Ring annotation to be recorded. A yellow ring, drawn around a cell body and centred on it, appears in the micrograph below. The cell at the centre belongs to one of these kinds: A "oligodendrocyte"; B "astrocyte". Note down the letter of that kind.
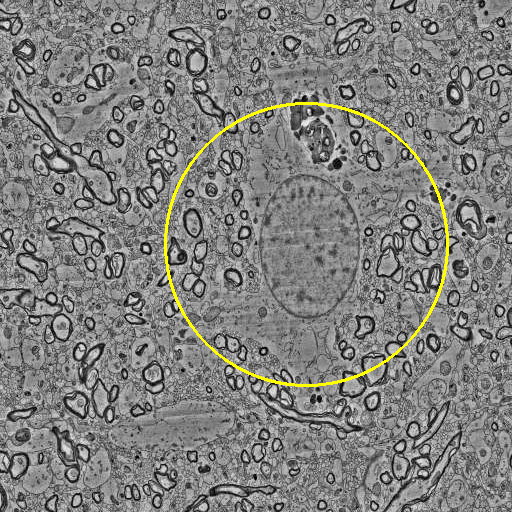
B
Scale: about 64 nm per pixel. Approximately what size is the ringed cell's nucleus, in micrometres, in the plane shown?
Roughly 9 by 6 micrometres is the size of the nucleus in this plane.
